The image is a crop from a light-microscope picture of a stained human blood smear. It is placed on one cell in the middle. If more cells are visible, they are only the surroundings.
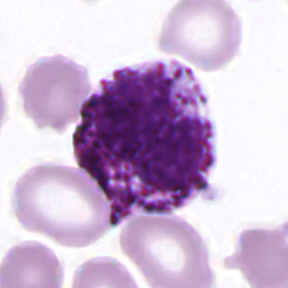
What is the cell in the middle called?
basophil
